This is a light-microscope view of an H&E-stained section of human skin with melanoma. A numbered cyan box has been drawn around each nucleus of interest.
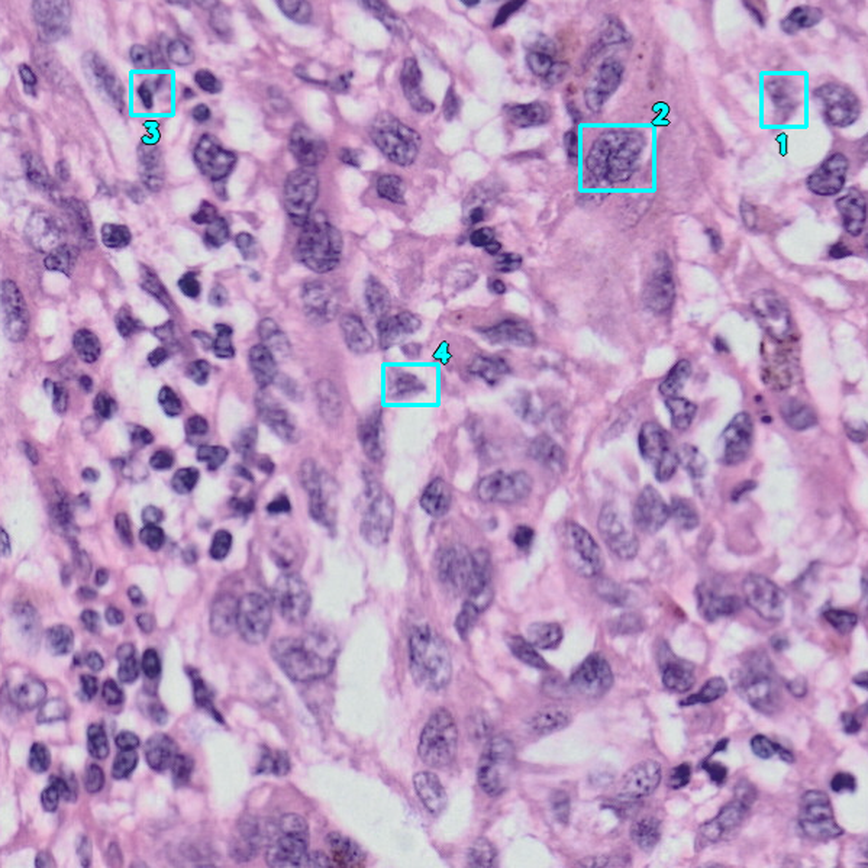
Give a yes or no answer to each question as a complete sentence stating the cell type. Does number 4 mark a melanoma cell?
Yes, the one numbered 4 is a melanoma cell.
